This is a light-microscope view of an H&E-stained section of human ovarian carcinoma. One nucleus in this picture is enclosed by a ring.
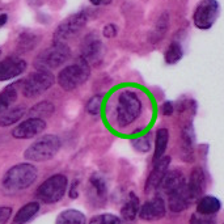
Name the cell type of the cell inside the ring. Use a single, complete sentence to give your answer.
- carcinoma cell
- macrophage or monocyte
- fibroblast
In cellular terms, the cell inside the ring is a macrophage or monocyte.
